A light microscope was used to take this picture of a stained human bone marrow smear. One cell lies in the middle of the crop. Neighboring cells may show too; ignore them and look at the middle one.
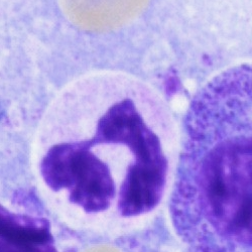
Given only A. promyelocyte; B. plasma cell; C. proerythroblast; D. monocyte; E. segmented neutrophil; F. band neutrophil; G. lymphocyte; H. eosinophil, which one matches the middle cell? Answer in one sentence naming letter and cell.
The central cell of the crop is a segmented neutrophil, which makes E the correct option.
